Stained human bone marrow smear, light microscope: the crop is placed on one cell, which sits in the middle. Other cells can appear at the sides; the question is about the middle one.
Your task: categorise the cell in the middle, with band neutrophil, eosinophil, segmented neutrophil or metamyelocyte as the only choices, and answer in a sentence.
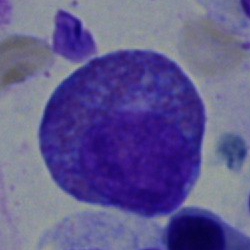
As for the cell in the middle, it is an eosinophil.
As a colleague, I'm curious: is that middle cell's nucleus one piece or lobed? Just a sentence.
The nucleus is one compact mass, round, oval or kidney-shaped in outline.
